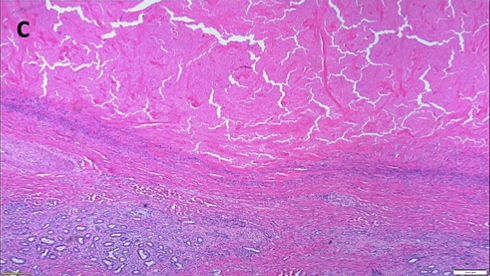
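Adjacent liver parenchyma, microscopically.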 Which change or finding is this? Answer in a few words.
Reactive bile duct proliferation.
